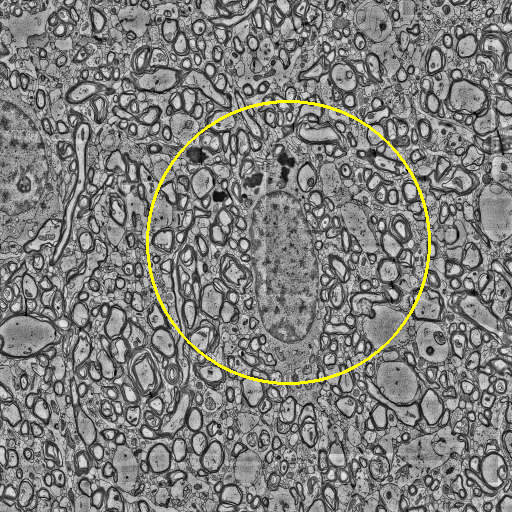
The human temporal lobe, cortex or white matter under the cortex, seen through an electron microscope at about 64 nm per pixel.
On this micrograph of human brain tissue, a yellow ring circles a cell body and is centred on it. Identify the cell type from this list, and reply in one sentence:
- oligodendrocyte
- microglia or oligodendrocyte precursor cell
The cell at the centre is an oligodendrocyte.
